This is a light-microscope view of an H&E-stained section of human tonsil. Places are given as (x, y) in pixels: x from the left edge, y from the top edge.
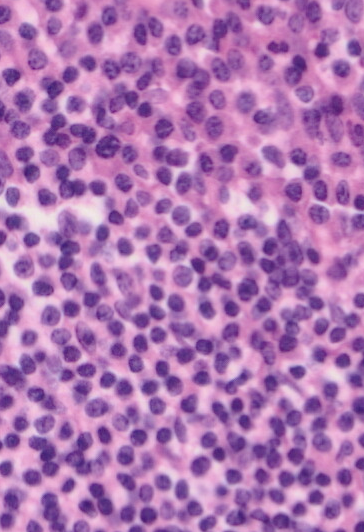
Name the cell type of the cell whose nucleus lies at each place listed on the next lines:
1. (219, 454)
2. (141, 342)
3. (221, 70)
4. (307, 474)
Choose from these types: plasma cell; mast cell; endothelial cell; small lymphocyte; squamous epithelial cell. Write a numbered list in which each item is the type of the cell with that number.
1. small lymphocyte
2. small lymphocyte
3. plasma cell
4. small lymphocyte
